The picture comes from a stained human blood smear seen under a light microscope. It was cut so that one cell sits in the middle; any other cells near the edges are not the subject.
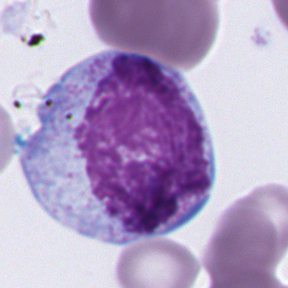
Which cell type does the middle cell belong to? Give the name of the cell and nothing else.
myelocyte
